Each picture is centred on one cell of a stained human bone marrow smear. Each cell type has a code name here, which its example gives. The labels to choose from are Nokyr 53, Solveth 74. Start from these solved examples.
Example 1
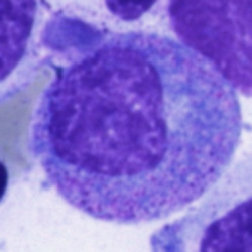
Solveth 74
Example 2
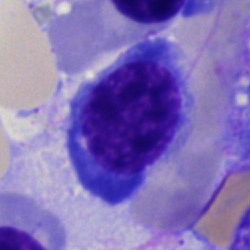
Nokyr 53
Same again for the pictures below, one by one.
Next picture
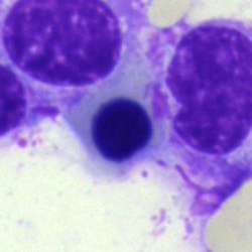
Nokyr 53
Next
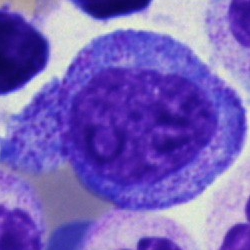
Solveth 74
